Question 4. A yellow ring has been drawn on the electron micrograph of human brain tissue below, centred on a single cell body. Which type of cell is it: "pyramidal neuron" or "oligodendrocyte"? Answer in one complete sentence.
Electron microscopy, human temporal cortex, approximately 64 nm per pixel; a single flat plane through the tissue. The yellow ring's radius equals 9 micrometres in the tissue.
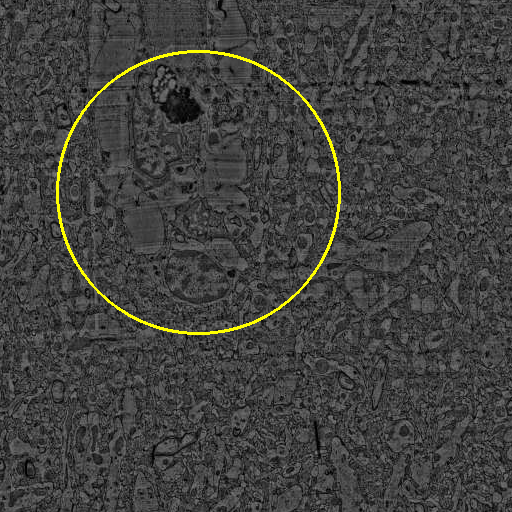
This cell body belongs to an oligodendrocyte.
